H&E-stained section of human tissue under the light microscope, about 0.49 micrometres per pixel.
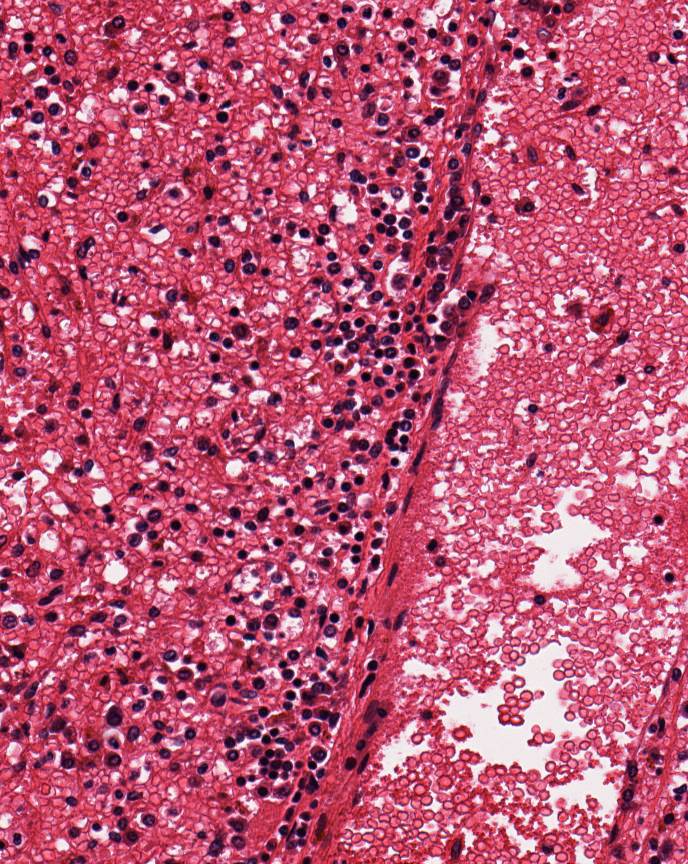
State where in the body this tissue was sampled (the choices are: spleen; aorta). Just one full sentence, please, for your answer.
It is from the spleen that this section was cut.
